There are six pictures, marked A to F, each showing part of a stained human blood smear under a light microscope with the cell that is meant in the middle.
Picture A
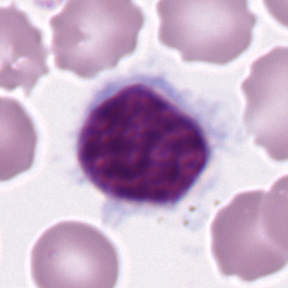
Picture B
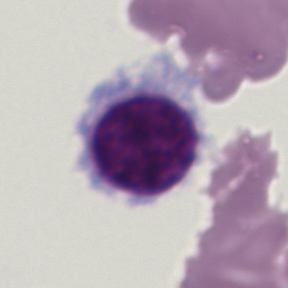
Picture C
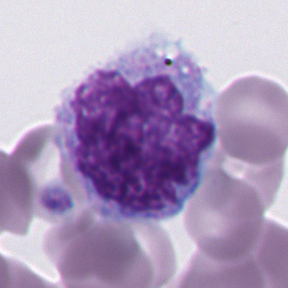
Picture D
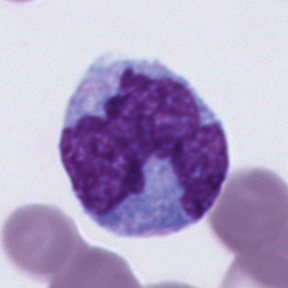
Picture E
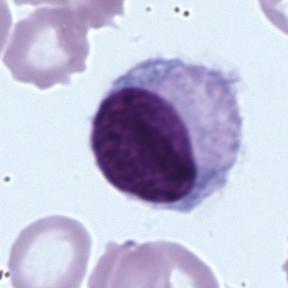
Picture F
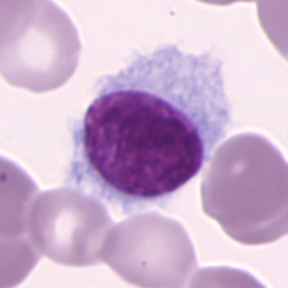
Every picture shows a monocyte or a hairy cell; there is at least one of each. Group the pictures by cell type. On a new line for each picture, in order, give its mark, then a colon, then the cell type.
A: hairy cell
B: hairy cell
C: monocyte
D: monocyte
E: hairy cell
F: hairy cell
